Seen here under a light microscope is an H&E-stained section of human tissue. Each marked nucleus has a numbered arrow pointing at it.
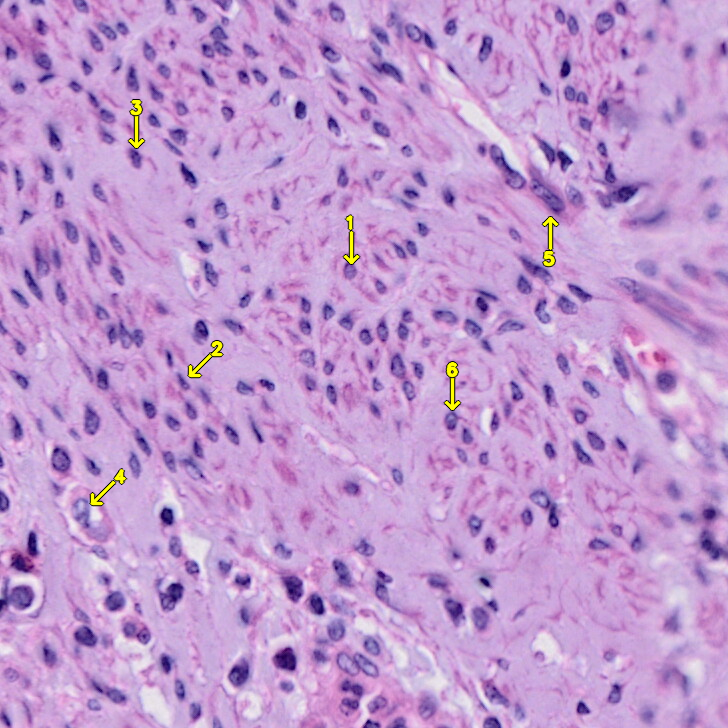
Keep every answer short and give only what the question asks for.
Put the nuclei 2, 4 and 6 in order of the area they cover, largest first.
4, 6, 2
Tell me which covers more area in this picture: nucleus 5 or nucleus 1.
5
